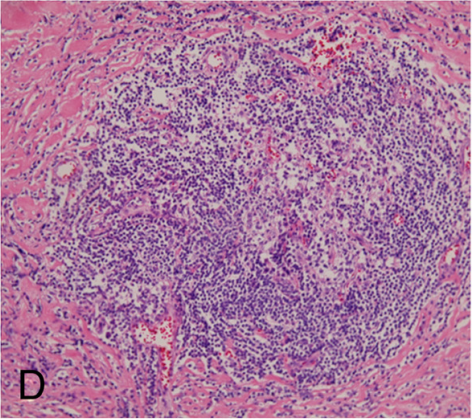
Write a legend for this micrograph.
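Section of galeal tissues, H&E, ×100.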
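A large rounded aggregate of densely packed small dark-blue round cells sits within pink fibrous tissue. Its centre is somewhat paler and looser than the crowded rim, and small blood vessels with red cells run through and around it.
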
